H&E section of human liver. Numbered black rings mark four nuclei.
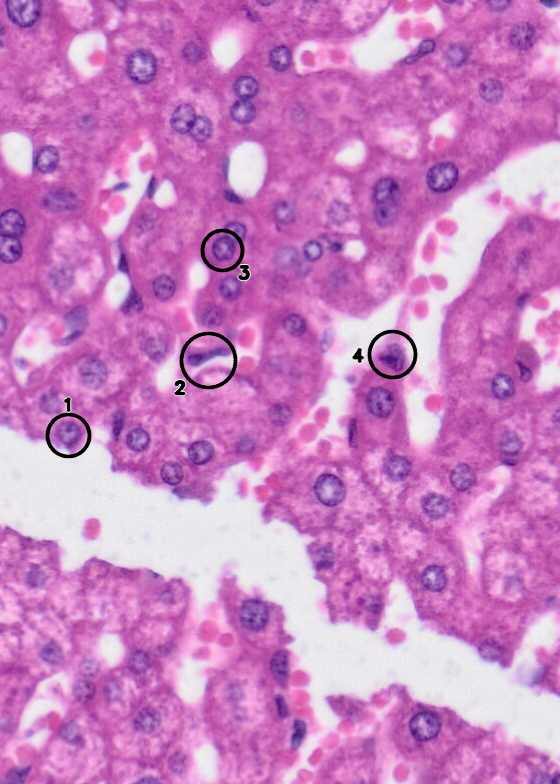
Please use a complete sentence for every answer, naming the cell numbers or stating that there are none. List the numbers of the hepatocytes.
Cells numbered 1 and 3 belong to the group of hepatocytes.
